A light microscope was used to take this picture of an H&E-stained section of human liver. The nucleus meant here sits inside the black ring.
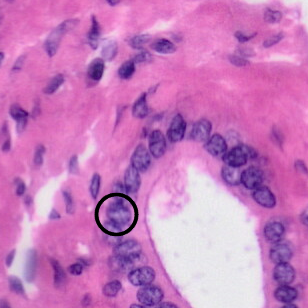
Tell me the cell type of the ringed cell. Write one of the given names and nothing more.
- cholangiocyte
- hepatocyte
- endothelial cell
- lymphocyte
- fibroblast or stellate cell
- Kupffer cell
cholangiocyte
